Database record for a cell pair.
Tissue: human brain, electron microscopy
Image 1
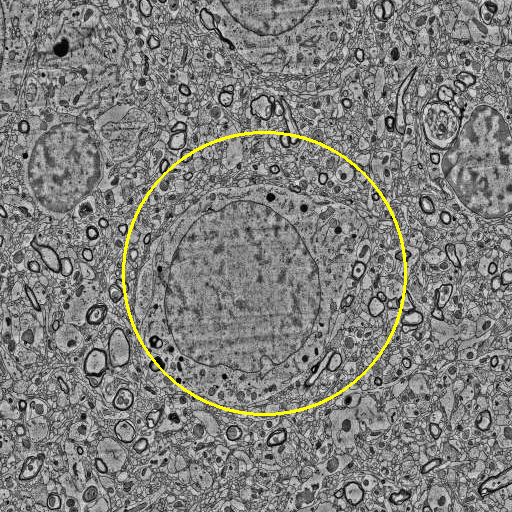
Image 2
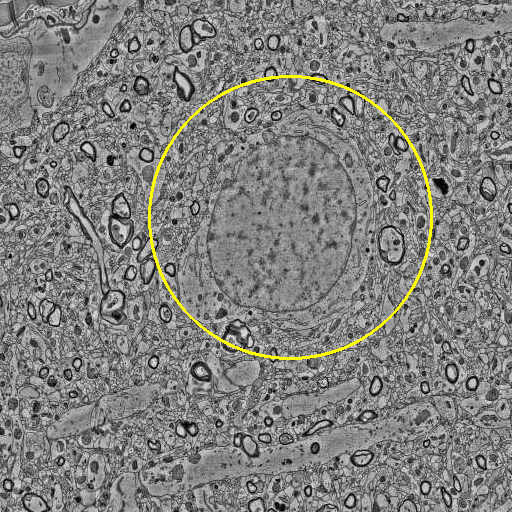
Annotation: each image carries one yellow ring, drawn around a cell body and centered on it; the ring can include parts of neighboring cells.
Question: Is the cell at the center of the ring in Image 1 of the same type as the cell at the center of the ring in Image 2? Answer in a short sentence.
No, the cells are of two types.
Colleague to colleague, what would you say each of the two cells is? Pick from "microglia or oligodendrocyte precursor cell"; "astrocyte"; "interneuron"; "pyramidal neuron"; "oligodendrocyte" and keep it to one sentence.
The cell in the first picture is a pyramidal neuron; the second picture's cell is an interneuron.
